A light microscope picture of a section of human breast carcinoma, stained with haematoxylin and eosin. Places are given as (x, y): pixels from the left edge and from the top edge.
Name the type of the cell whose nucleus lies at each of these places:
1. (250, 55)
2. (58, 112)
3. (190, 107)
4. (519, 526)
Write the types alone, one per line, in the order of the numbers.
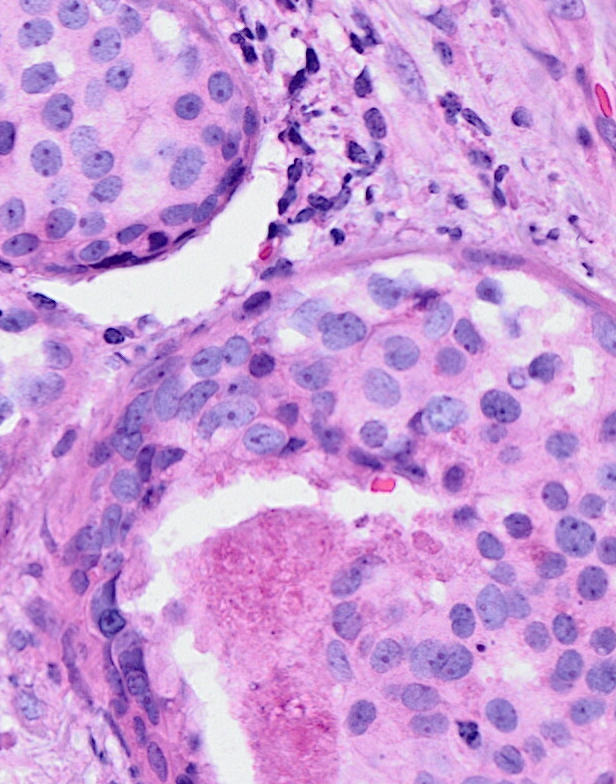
lymphocyte
carcinoma cell
carcinoma cell
carcinoma cell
